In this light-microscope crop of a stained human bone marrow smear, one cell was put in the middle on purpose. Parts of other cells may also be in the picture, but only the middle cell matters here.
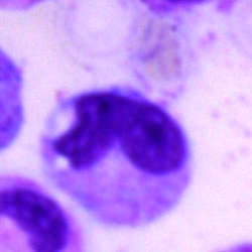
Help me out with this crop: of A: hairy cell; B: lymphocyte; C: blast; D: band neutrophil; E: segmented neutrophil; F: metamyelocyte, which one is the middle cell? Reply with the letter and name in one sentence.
The middle cell of the crop is a metamyelocyte; accordingly, option F is correct.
